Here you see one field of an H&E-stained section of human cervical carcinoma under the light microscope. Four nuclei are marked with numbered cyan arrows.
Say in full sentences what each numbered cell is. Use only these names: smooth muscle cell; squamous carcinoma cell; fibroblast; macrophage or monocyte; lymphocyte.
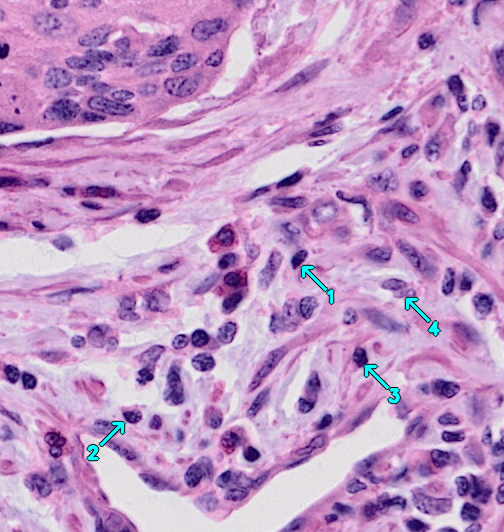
Cells 1, 2 and 3 are lymphocytes. Cell 4 is a macrophage or monocyte.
